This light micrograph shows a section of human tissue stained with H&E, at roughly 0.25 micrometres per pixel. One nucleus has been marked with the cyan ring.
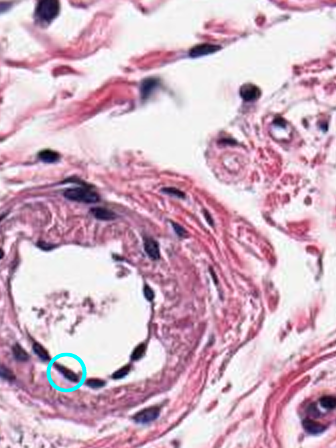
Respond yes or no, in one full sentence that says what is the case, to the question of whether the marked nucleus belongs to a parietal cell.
No, the owner of the marked nucleus is a supporting cell, not a parietal cell.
